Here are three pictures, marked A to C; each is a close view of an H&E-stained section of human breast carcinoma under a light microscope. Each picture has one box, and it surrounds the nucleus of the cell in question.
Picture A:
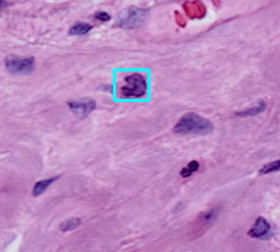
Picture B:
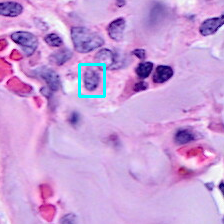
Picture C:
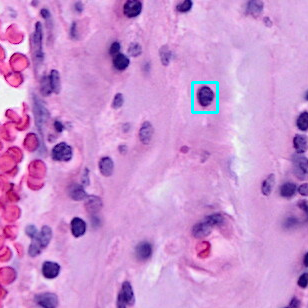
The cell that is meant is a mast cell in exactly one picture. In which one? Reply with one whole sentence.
Picture B is the one that shows the mast cell.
